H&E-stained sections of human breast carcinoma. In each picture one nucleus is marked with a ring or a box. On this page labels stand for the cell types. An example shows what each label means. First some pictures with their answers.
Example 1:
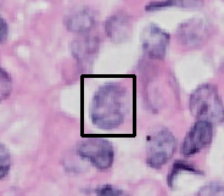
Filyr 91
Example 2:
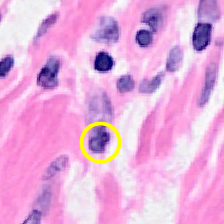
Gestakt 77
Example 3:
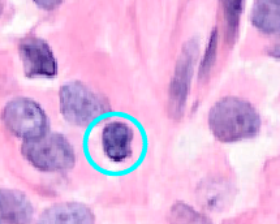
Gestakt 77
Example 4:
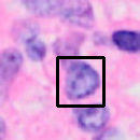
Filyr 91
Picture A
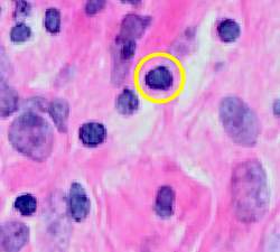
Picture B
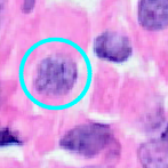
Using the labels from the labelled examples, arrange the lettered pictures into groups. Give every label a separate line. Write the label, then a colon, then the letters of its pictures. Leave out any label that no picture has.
Filyr 91: B
Gestakt 77: A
